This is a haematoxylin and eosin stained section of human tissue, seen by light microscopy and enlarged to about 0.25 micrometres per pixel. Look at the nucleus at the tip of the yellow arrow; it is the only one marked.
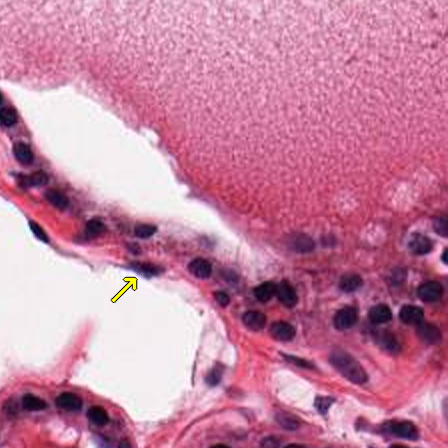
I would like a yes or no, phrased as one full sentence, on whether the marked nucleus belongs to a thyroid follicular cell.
No, the marked nucleus is to be assigned to a supporting cell, not to a thyroid follicular cell.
